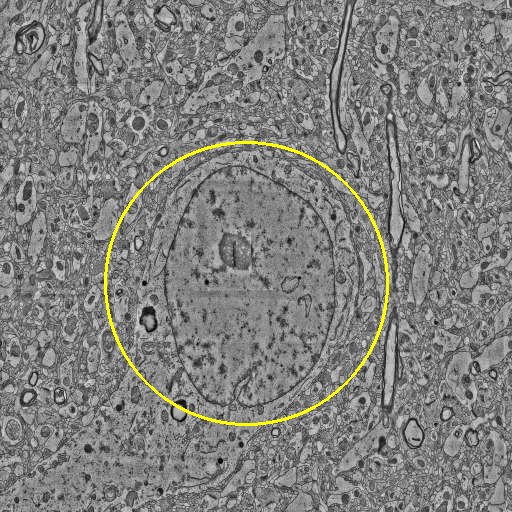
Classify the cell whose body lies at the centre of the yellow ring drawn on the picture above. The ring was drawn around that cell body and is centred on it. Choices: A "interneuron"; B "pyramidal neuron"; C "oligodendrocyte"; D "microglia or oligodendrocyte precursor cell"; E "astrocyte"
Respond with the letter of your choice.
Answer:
B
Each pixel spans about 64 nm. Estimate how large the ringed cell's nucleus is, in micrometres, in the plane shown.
In this plane the nucleus measures roughly 15 by 11 micrometres.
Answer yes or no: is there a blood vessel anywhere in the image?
No, there is no blood vessel.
